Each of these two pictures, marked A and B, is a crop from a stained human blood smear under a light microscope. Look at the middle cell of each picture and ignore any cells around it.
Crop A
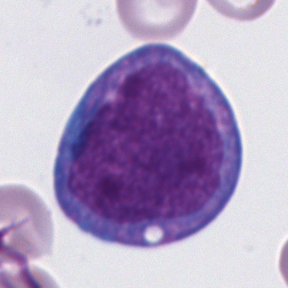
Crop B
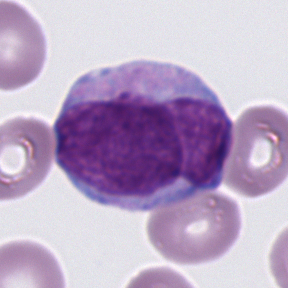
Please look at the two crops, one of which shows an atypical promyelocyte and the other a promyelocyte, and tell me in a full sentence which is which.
The cell in crop A is a promyelocyte, and the one in crop B is an atypical promyelocyte.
